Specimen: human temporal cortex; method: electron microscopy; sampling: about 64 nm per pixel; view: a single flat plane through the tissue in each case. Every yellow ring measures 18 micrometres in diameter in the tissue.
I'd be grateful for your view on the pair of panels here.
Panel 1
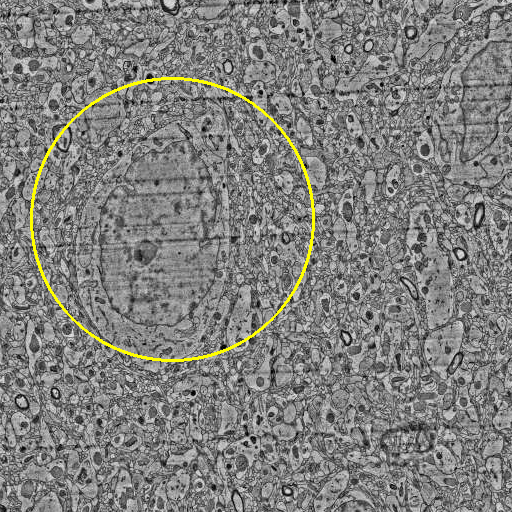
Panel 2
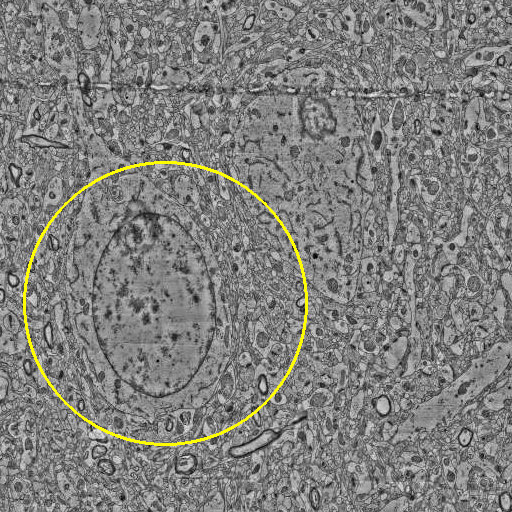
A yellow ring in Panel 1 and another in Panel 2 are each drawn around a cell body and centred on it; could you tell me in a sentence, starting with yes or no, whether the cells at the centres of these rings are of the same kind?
No, they are two kinds of cell.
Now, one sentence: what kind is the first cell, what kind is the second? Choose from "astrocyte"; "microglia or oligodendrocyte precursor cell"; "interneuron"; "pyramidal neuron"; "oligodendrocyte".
The first picture has an interneuron at its ring centre, and the second has a pyramidal neuron.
